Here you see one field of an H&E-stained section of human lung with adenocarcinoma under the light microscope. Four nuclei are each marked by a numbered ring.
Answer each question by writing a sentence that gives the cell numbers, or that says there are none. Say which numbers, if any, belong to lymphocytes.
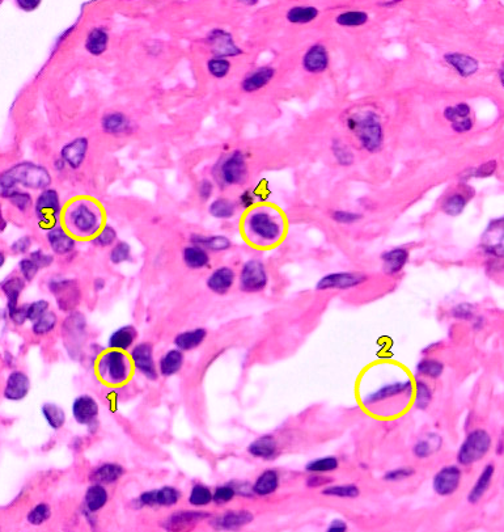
The cells the numbers 3 and 4 point to are lymphocytes.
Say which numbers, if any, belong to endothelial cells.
Of the cells marked with numbers, cell 2 is the only one that is an endothelial cell.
